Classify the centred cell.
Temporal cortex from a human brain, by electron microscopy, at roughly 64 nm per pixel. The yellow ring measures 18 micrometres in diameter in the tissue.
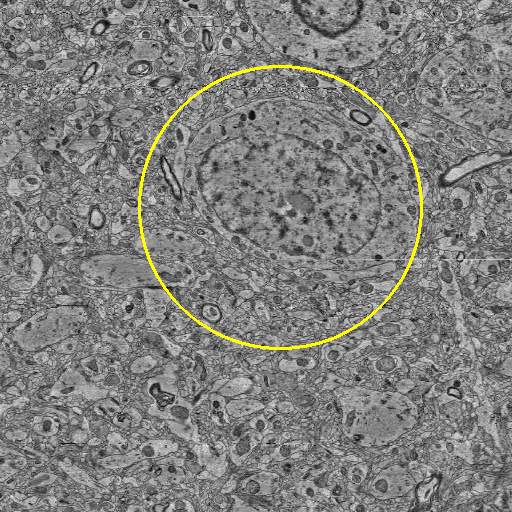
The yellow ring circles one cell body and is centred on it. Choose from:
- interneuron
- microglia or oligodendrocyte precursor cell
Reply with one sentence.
The ring is centred on an interneuron.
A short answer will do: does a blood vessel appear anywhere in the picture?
No, there is no blood vessel.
